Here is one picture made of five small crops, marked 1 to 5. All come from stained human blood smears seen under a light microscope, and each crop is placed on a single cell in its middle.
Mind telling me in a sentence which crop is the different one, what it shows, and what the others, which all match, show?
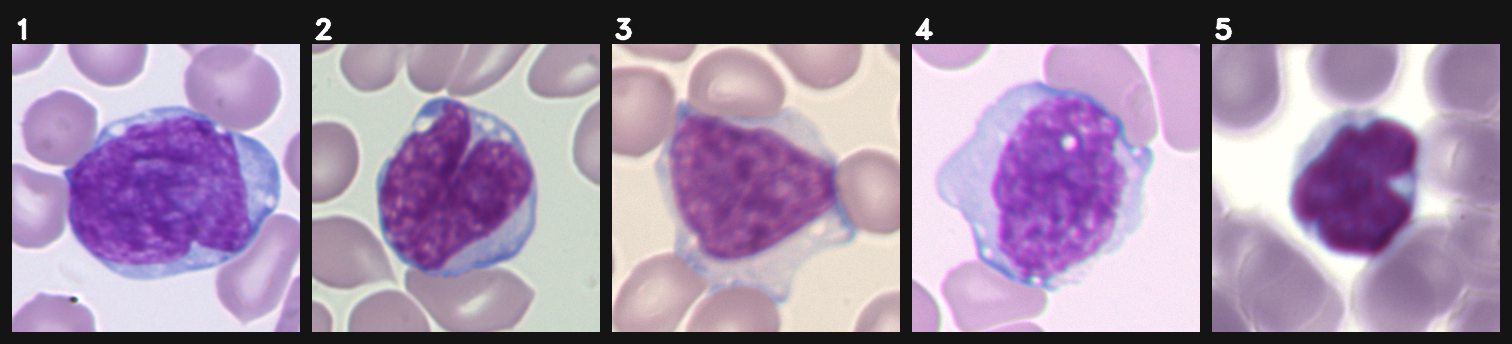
Among the crops, crop 5 is unique in showing a lymphocyte; the others show blasts.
